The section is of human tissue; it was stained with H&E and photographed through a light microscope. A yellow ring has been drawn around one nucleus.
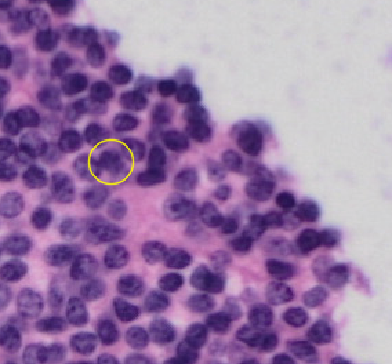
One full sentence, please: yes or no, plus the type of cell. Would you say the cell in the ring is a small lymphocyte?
Yes, in this field of view, the cell in the ring is a small lymphocyte.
